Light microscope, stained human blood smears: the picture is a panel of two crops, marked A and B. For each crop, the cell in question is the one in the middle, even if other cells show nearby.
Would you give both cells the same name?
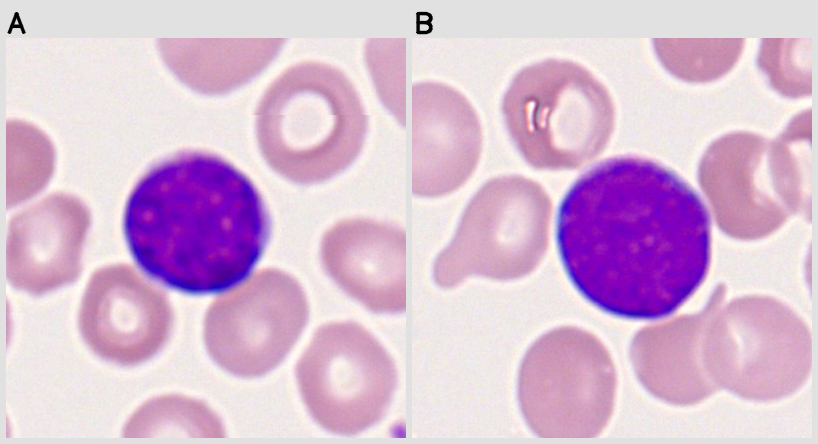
no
